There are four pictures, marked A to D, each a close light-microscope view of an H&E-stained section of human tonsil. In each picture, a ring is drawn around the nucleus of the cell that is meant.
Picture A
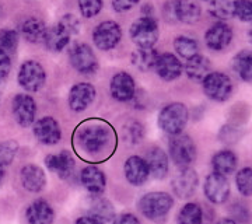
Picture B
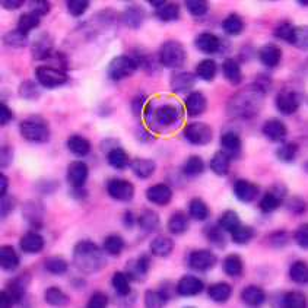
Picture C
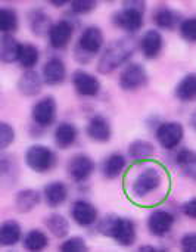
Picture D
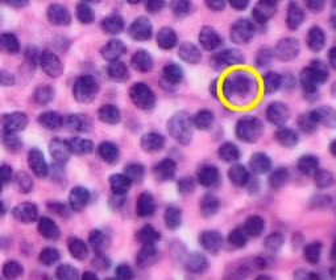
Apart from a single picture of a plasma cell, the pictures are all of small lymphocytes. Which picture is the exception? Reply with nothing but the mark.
A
